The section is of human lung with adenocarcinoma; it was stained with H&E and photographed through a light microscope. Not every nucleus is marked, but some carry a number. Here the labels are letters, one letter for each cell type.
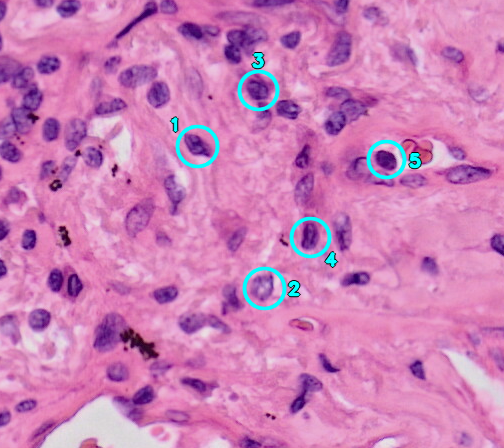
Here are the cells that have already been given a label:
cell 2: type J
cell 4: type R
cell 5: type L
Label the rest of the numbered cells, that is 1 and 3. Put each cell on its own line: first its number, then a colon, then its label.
1: type L
3: type R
